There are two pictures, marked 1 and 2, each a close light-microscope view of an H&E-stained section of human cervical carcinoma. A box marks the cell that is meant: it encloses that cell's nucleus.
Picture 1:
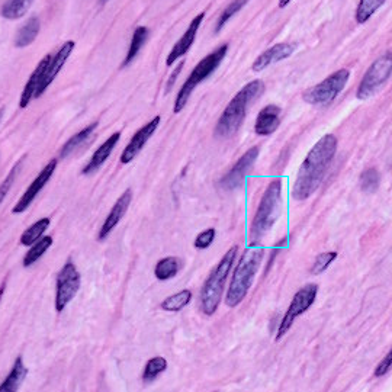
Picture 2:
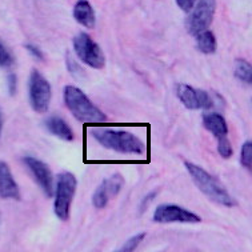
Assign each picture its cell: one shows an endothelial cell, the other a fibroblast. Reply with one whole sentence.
The cell in picture 1 is an endothelial cell, and the one in picture 2 is a fibroblast.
